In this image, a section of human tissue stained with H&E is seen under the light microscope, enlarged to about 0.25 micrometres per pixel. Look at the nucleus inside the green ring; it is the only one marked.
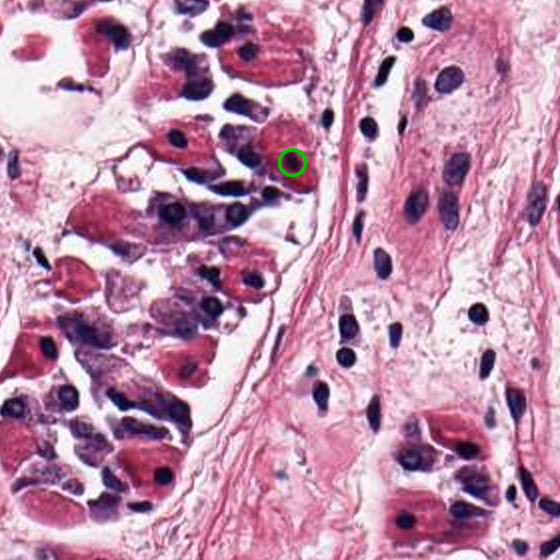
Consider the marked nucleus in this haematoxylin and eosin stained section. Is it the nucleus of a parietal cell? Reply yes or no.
yes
